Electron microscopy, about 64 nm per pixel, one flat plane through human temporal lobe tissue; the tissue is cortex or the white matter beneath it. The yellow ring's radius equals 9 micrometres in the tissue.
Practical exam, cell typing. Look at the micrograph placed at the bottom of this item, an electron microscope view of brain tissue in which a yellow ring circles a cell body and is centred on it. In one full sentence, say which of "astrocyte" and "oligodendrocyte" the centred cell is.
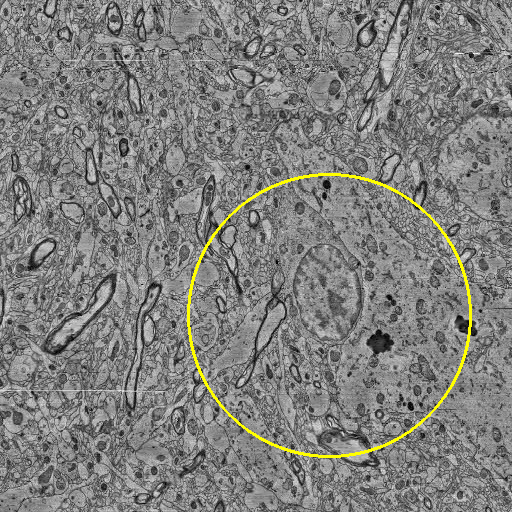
Given the options, an oligodendrocyte fits the cell whose body the yellow ring is centred on.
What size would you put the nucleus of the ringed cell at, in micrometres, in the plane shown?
In this plane, roughly 6 by 5 micrometres.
